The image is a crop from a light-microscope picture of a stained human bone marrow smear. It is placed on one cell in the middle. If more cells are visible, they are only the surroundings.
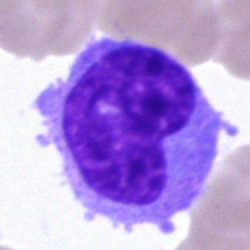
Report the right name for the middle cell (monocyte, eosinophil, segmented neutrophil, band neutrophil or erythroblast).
monocyte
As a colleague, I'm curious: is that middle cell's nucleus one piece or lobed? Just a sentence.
Round, oval or kidney-shaped, the nucleus is one compact mass.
